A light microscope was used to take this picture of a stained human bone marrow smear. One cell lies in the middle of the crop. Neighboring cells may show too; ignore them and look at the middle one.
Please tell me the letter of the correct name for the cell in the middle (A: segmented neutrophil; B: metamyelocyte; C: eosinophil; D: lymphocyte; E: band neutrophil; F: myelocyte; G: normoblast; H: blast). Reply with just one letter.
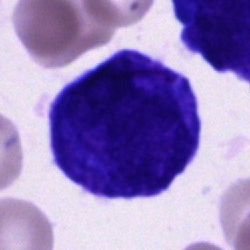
H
